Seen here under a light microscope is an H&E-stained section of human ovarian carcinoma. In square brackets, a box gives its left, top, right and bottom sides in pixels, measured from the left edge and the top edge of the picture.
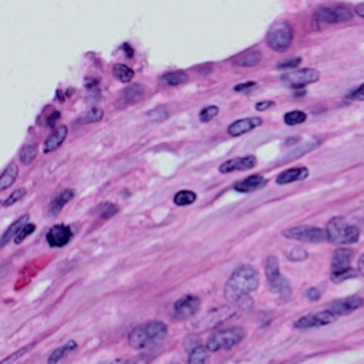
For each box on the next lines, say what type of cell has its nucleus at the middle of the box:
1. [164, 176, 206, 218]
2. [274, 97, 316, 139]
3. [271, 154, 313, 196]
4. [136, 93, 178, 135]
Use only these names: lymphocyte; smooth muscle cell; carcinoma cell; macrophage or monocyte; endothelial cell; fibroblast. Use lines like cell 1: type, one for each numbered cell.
cell 1: lymphocyte
cell 2: lymphocyte
cell 3: lymphocyte
cell 4: fibroblast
